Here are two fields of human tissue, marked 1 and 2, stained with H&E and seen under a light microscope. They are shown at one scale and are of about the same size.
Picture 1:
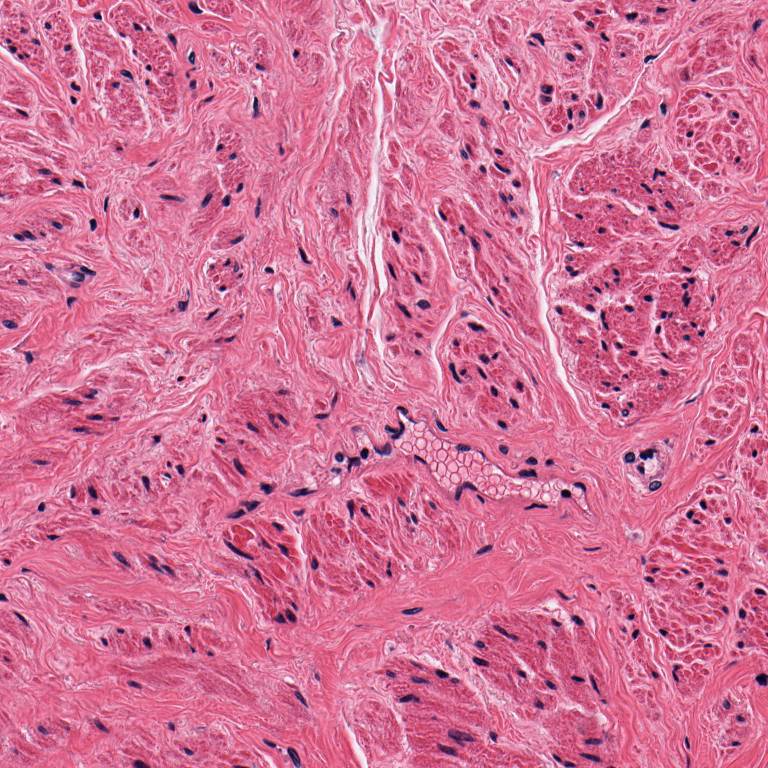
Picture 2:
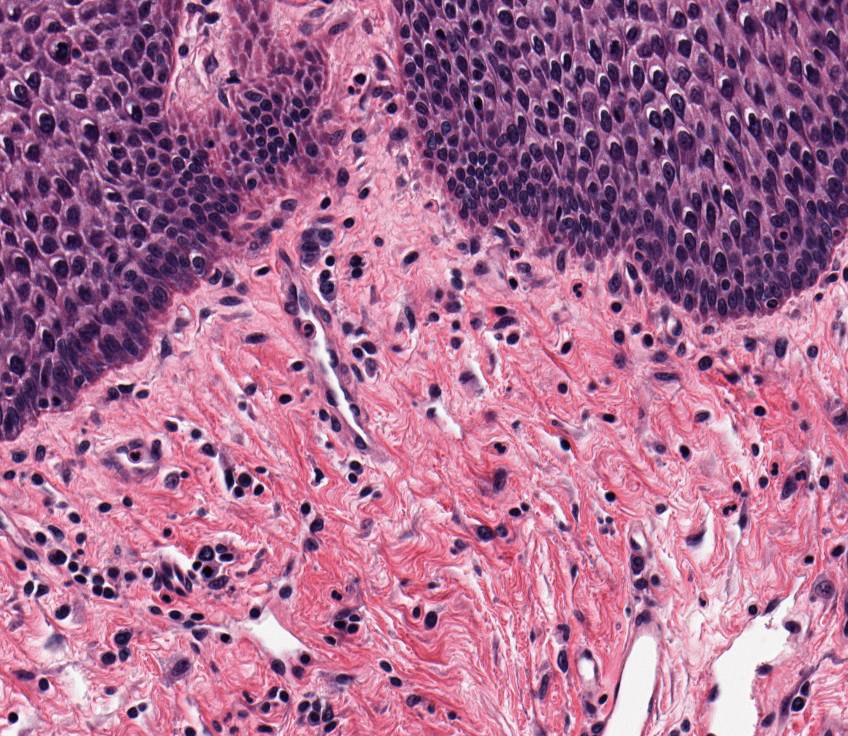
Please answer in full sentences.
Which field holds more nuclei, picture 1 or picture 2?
More nuclei lie in picture 2 than in picture 1.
